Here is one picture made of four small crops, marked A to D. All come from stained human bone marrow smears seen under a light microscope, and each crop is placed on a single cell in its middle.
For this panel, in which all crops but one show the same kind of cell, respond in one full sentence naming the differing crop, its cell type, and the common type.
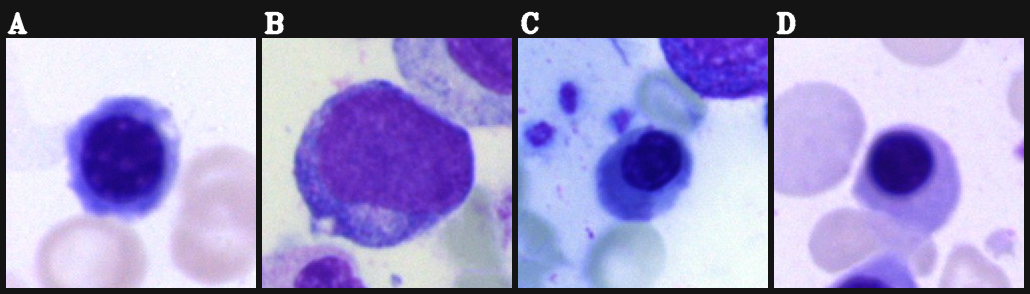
Crop B is a blast, and the other crops all show normoblasts.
